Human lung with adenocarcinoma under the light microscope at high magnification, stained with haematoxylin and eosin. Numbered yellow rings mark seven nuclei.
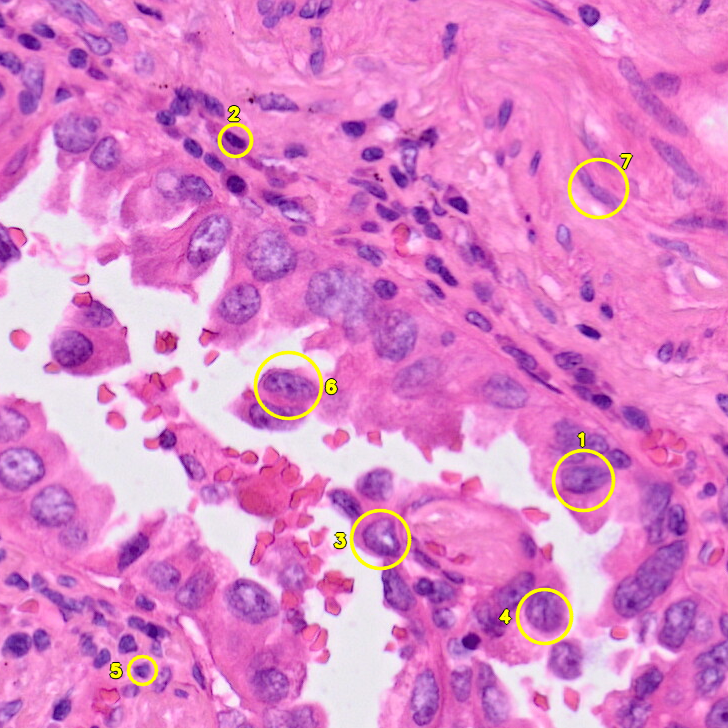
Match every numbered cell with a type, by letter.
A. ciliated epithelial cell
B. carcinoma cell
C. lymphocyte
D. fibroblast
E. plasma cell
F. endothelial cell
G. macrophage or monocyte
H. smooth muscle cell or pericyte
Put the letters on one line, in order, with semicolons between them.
B; E; B; B; C; B; H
